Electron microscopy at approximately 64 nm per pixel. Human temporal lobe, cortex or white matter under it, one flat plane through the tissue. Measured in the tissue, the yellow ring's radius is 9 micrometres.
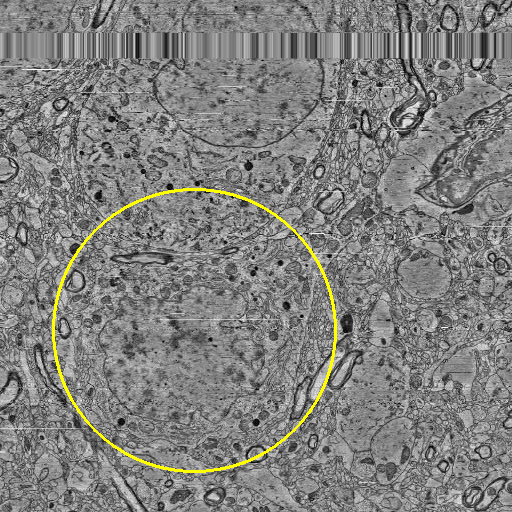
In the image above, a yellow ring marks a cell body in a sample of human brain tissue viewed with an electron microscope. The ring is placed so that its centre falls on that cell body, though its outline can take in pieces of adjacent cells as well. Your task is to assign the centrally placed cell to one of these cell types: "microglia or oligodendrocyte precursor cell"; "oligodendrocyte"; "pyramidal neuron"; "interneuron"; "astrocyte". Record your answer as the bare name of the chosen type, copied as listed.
interneuron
